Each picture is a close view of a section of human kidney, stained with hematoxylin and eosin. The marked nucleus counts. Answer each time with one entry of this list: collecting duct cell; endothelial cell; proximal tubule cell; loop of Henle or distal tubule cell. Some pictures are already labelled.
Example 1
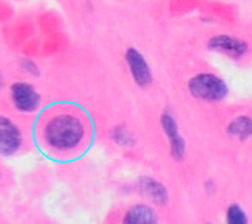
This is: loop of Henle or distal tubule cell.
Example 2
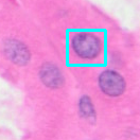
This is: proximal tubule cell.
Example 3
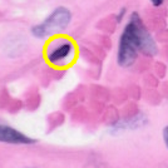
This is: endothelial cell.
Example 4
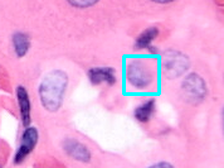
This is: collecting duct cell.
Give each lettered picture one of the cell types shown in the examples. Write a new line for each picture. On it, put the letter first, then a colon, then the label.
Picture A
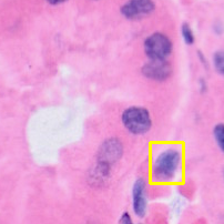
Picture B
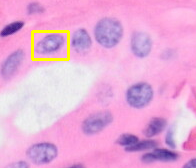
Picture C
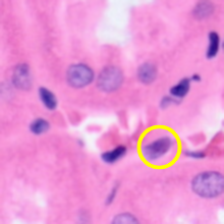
A: endothelial cell.
B: collecting duct cell.
C: endothelial cell.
